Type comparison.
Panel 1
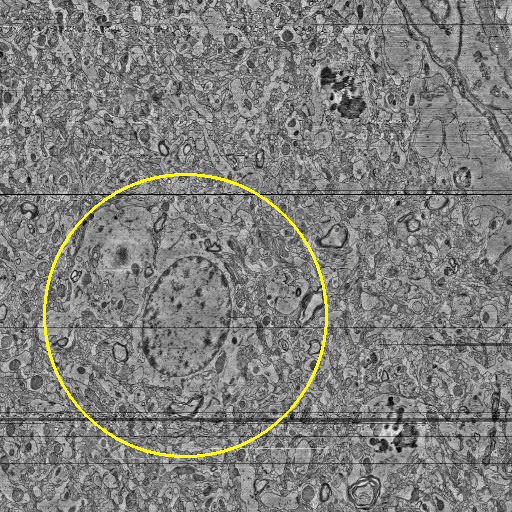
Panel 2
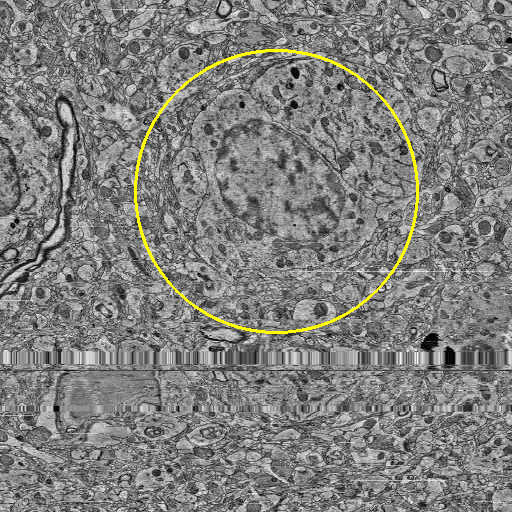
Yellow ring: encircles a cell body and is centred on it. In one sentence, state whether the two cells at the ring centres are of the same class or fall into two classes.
In these panels, the two cells at the ring centres fall into two classes.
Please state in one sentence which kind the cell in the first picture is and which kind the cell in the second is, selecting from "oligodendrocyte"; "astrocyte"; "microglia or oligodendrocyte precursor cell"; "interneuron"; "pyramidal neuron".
The first ringed cell is an astrocyte, the second ringed cell an interneuron.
